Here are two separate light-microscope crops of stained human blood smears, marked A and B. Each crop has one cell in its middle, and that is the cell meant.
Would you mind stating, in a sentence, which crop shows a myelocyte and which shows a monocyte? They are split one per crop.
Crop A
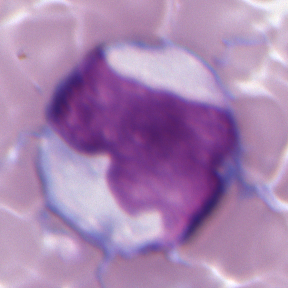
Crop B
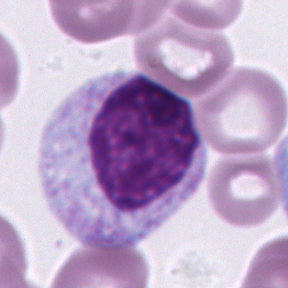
Shown in crop A is a monocyte, and shown in crop B is a myelocyte.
